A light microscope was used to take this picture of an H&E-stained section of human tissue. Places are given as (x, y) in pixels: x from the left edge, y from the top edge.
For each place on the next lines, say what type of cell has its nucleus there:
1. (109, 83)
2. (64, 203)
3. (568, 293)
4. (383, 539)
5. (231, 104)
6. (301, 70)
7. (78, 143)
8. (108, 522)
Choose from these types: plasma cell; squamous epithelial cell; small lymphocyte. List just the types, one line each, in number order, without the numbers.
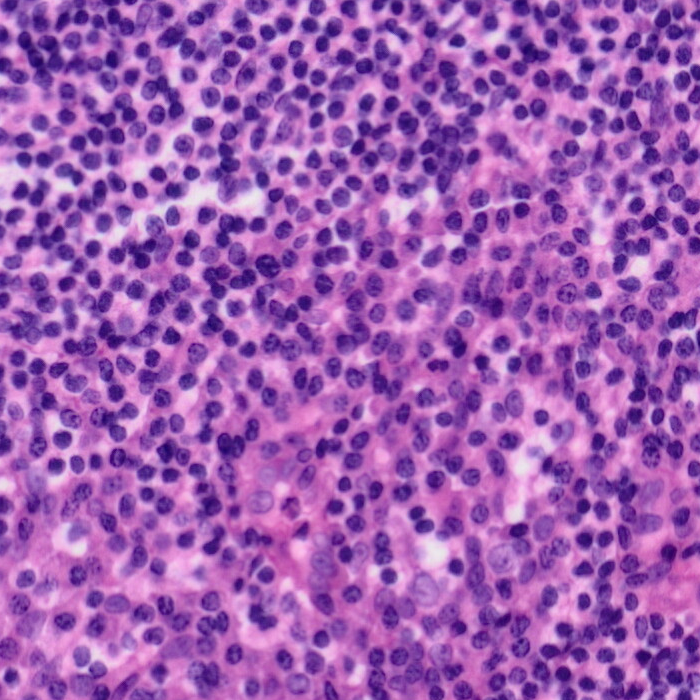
small lymphocyte
small lymphocyte
plasma cell
plasma cell
small lymphocyte
small lymphocyte
small lymphocyte
plasma cell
